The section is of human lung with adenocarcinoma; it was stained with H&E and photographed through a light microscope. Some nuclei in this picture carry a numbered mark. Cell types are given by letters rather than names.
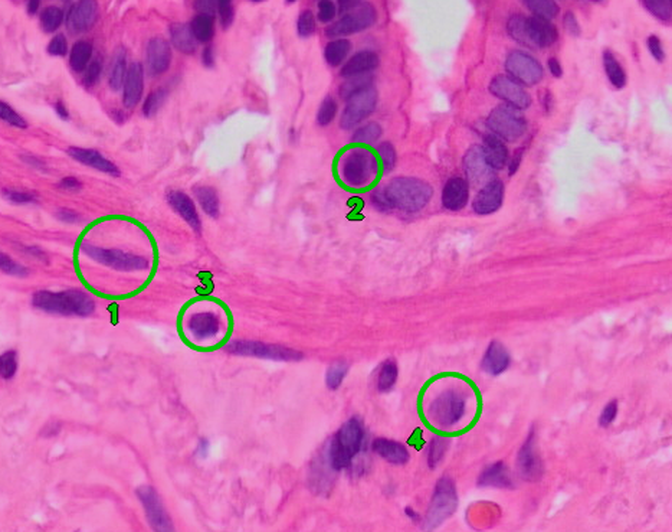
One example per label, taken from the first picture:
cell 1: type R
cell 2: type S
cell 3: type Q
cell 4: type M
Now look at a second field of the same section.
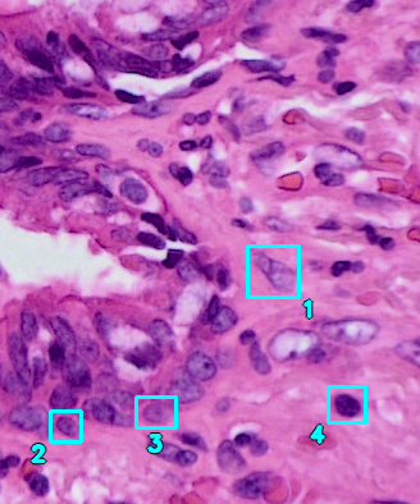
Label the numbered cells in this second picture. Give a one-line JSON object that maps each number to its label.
{"1": "type M", "2": "type S", "3": "type S", "4": "type Q"}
